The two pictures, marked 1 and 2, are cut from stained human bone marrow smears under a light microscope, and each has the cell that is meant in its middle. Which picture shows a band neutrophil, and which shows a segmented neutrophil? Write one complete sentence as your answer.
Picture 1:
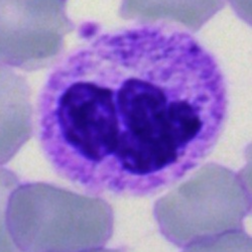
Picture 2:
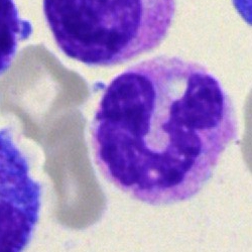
Picture 2 shows a band neutrophil, while picture 1 shows a segmented neutrophil.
